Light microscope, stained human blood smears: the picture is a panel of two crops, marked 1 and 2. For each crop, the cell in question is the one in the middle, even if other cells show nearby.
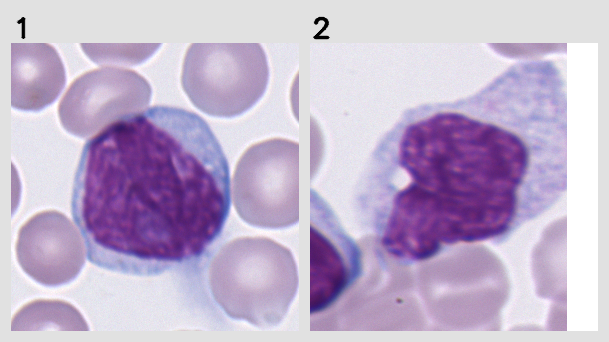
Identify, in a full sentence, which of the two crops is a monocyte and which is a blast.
Crop 1 depicts a blast, and a monocyte is depicted in crop 2.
